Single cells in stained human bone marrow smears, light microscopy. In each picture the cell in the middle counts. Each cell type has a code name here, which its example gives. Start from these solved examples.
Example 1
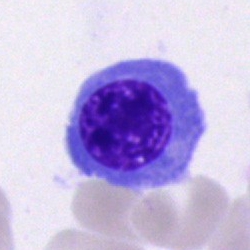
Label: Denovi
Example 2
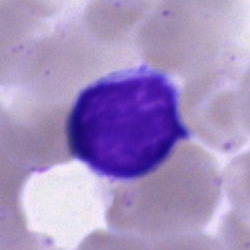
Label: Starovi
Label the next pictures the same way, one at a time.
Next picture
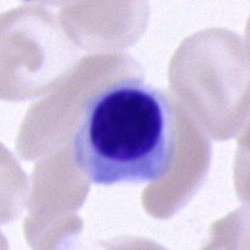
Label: Denovi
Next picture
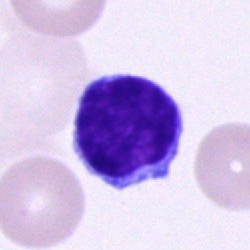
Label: Starovi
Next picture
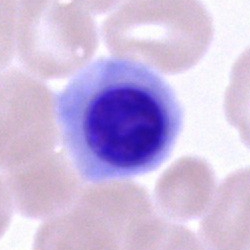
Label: Denovi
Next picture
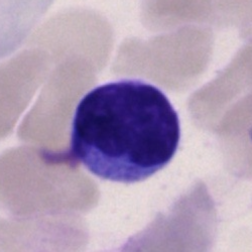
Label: Starovi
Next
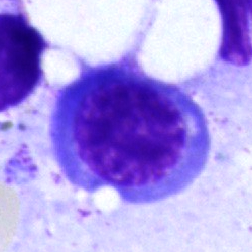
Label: Denovi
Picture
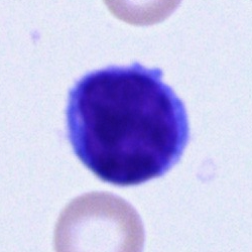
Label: Starovi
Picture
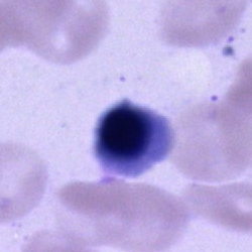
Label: Denovi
